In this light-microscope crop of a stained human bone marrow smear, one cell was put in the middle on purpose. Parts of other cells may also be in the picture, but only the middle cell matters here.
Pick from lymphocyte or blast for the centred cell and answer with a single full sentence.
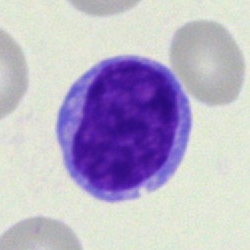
The centered cell in this crop is a lymphocyte.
